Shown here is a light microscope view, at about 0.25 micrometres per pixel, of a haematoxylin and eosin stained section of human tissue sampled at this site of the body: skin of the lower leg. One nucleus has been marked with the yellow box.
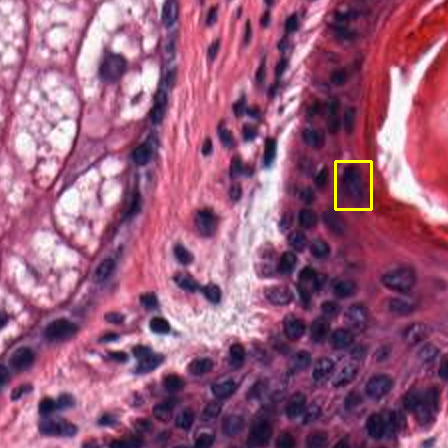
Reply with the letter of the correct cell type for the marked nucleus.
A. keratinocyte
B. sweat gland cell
A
